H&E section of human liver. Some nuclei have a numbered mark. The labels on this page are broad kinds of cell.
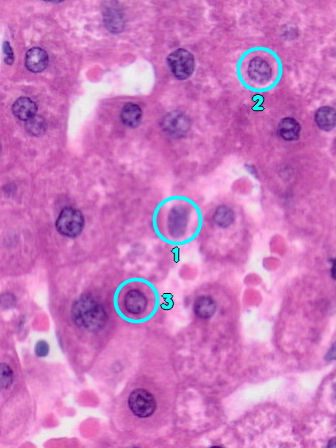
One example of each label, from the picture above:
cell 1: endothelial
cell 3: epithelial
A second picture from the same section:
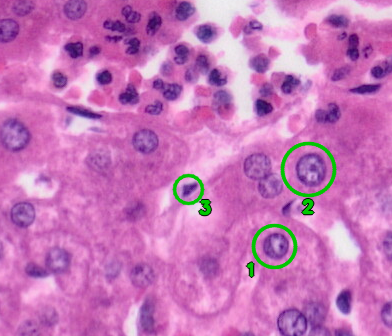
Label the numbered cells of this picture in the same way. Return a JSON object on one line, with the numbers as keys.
{"1": "epithelial", "2": "epithelial", "3": "endothelial"}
